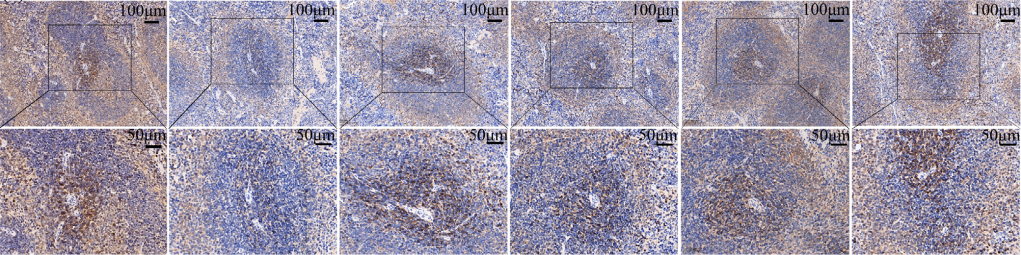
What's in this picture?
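Each low-power view of the tissue shows rounded aggregates of densely packed small cells, boxed, against surrounding tissue with blue-counterstained nuclei. In the enlargements the aggregates hold many small round cells with brown staining, gathered around a central vessel. These aggregates are the white pulp of the spleen, with the stained cells clustered in it. The amount of brown staining differs clearly from one view to the next, some aggregates being mostly blue.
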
